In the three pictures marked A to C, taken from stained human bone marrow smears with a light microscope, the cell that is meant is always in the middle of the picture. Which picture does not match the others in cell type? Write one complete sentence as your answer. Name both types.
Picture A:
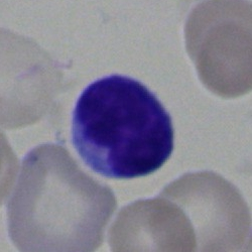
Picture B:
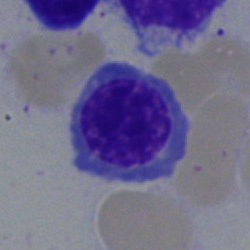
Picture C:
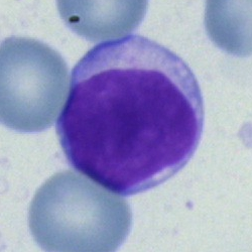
Unlike the rest, which show lymphocytes, picture B shows an erythroblast.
